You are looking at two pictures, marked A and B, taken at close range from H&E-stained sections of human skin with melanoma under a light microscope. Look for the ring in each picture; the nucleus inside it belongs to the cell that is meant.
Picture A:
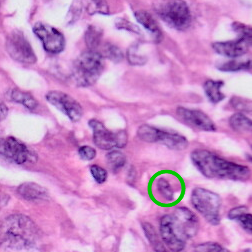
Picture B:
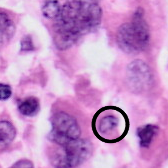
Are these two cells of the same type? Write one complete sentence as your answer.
Yes, the two pictures both show “macrophages or monocytes”.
